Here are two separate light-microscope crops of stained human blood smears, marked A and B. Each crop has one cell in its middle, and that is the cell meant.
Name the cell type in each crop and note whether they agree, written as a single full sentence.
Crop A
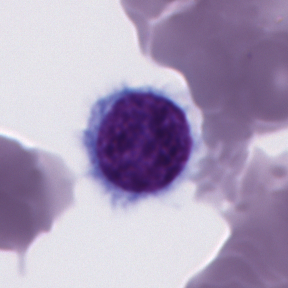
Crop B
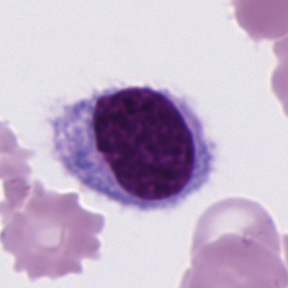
Yes, at the centre of both crops are hairy cells.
